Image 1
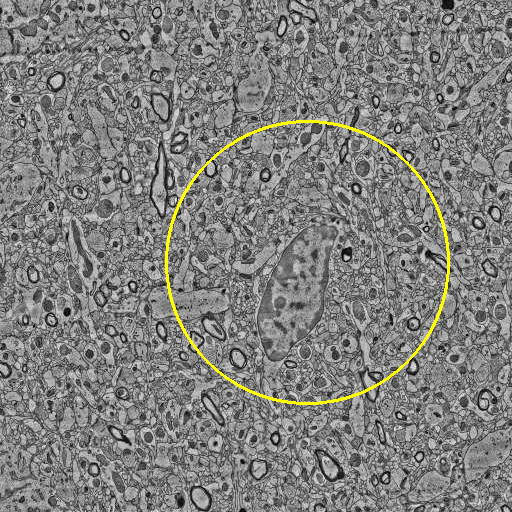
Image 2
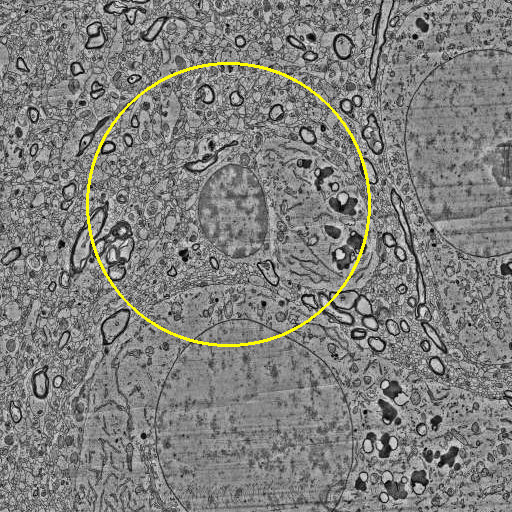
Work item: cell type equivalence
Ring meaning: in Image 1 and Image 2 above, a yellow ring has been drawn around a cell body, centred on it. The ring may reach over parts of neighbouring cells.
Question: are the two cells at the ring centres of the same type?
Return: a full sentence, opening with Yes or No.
No, the two centred cells are of two types.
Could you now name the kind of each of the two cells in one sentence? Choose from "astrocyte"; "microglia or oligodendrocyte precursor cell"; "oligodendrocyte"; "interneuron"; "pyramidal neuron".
The first ring encloses a microglial cell or oligodendrocyte precursor cell; the second ring encloses an oligodendrocyte.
